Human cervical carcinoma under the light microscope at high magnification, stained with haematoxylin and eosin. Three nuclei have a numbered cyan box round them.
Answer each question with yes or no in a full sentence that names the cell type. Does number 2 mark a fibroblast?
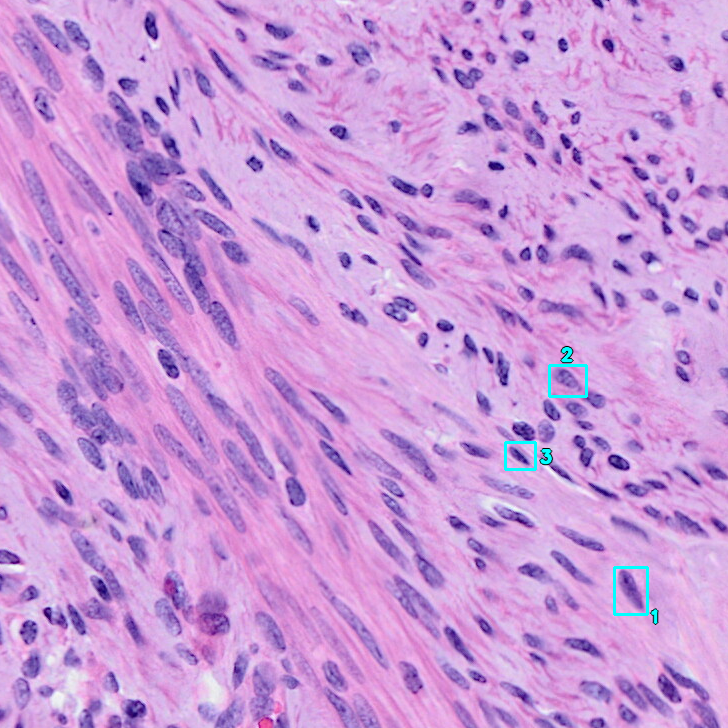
No, the cell at number 2 is a smooth muscle cell instead of a fibroblast.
